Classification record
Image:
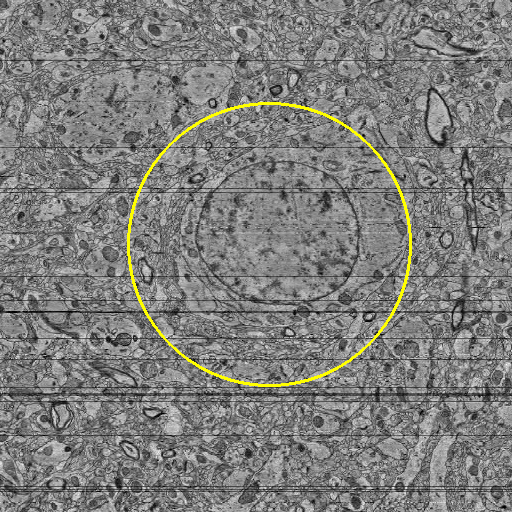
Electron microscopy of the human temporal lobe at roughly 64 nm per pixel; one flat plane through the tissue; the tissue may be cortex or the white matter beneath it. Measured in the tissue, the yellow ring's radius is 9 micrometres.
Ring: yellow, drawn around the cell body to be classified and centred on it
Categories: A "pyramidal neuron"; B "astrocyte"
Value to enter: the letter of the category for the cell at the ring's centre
A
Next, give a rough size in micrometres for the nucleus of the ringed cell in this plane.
The ringed cell's nucleus measures approximately 11 by 10 micrometres in this plane.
